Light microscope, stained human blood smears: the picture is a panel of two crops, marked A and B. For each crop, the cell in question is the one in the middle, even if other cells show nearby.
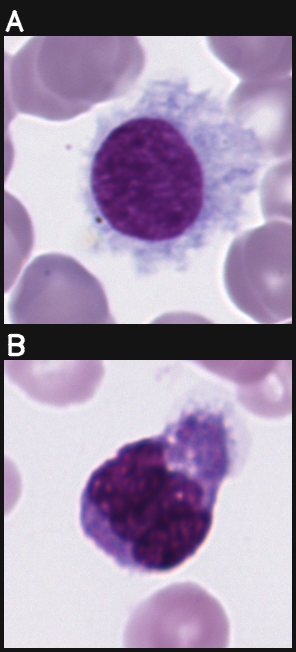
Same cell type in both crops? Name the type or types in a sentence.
No, crop A holds a hairy cell, and a monocyte occupies crop B.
